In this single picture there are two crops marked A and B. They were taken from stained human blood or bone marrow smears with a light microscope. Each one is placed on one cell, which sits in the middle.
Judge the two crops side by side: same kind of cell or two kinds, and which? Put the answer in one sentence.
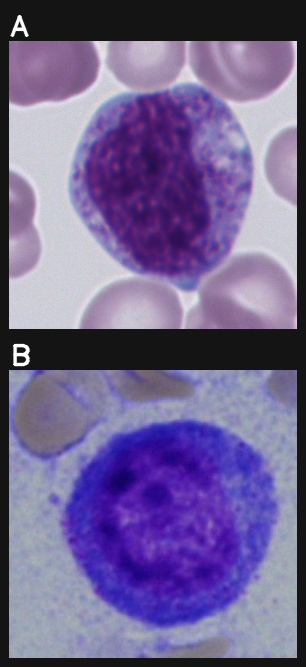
Yes, the central cells, in both crops, are promyelocytes.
